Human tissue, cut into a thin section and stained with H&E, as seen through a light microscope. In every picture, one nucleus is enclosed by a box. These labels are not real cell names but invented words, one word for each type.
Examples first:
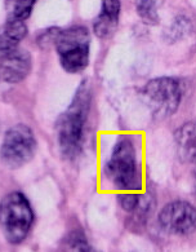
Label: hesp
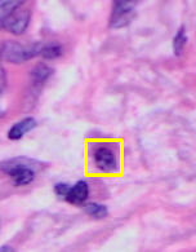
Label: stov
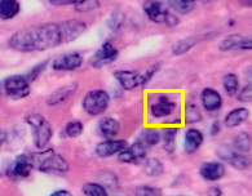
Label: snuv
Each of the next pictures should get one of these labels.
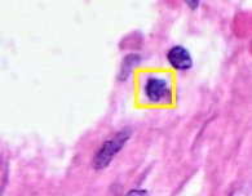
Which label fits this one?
snuv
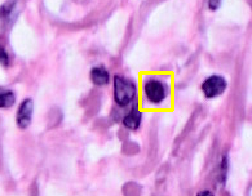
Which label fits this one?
stov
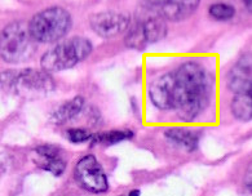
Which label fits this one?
hesp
